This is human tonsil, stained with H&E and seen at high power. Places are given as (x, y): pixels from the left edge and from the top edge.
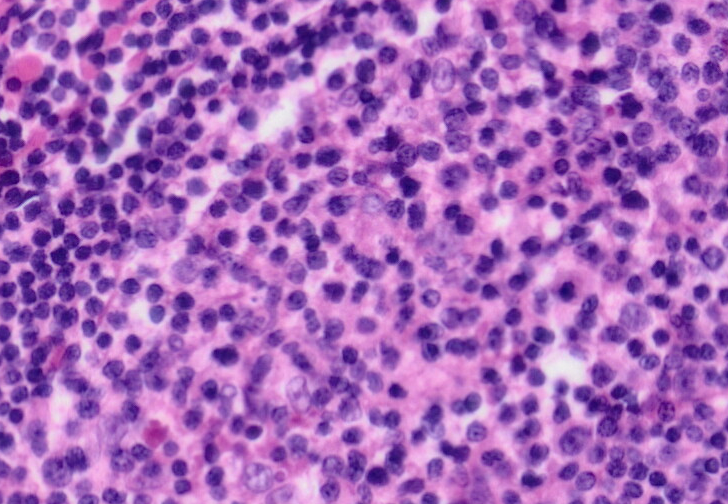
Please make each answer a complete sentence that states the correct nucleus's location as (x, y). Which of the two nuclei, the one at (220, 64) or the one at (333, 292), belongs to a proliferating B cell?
The nucleus that sits at (333, 292) is the nucleus of a proliferating B cell.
